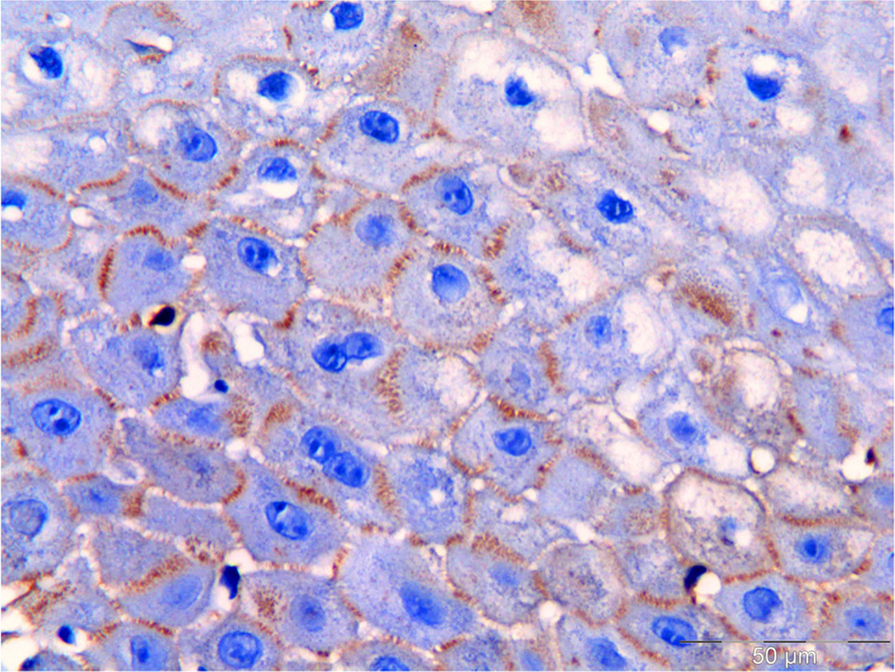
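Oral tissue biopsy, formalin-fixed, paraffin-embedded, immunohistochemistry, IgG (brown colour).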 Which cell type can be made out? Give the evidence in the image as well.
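Closely packed polygonal cells with distinct borders form a sheet. Cytoplasm is abundant and pale.
Hence: keratinocytes.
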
